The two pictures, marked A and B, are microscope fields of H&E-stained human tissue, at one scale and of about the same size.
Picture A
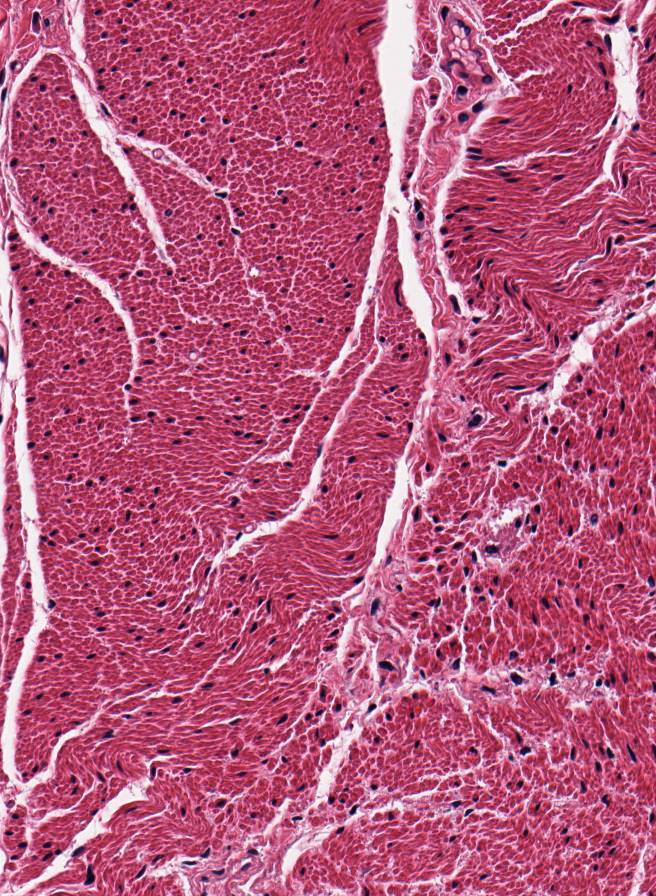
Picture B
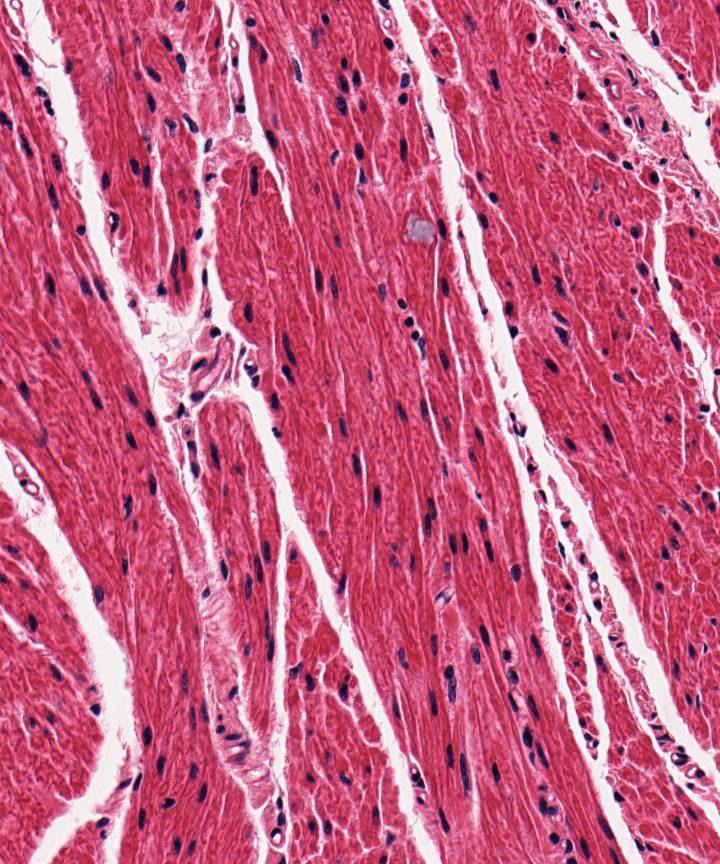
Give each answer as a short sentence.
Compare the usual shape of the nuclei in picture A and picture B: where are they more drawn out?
It is picture B whose nuclei are the more elongated.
